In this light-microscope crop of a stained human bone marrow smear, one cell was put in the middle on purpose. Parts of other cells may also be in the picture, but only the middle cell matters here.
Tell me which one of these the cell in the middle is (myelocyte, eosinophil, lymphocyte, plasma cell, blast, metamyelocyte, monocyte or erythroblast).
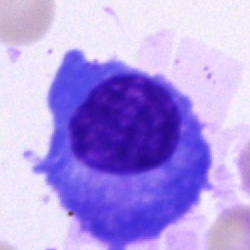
plasma cell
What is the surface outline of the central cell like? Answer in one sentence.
A smooth outline is absent here, replaced by ragged stretches or projections.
